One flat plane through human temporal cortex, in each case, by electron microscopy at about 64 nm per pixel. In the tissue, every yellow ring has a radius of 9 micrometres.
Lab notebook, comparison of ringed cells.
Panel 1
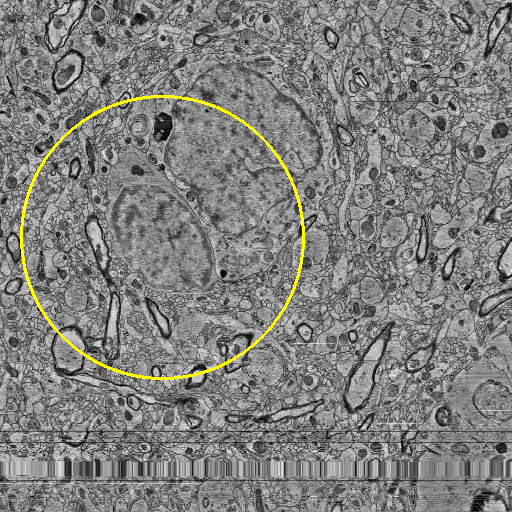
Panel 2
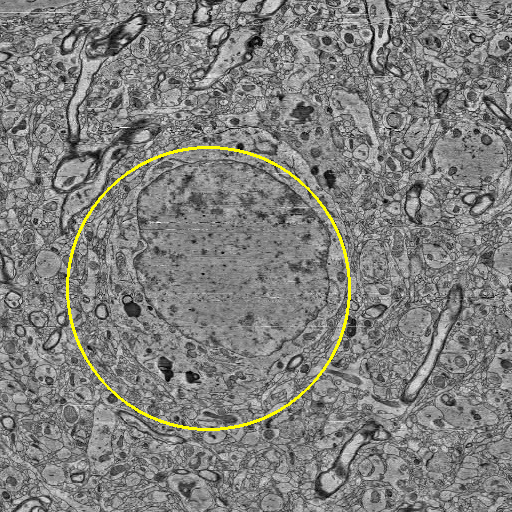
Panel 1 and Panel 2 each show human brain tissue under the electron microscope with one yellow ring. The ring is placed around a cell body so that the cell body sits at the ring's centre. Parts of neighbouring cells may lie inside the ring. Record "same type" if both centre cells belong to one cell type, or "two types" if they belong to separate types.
two types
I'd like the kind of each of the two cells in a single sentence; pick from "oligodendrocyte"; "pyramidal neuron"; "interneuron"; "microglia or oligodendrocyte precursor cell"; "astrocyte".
The first ring marks an oligodendrocyte, and the second ring marks a pyramidal neuron.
